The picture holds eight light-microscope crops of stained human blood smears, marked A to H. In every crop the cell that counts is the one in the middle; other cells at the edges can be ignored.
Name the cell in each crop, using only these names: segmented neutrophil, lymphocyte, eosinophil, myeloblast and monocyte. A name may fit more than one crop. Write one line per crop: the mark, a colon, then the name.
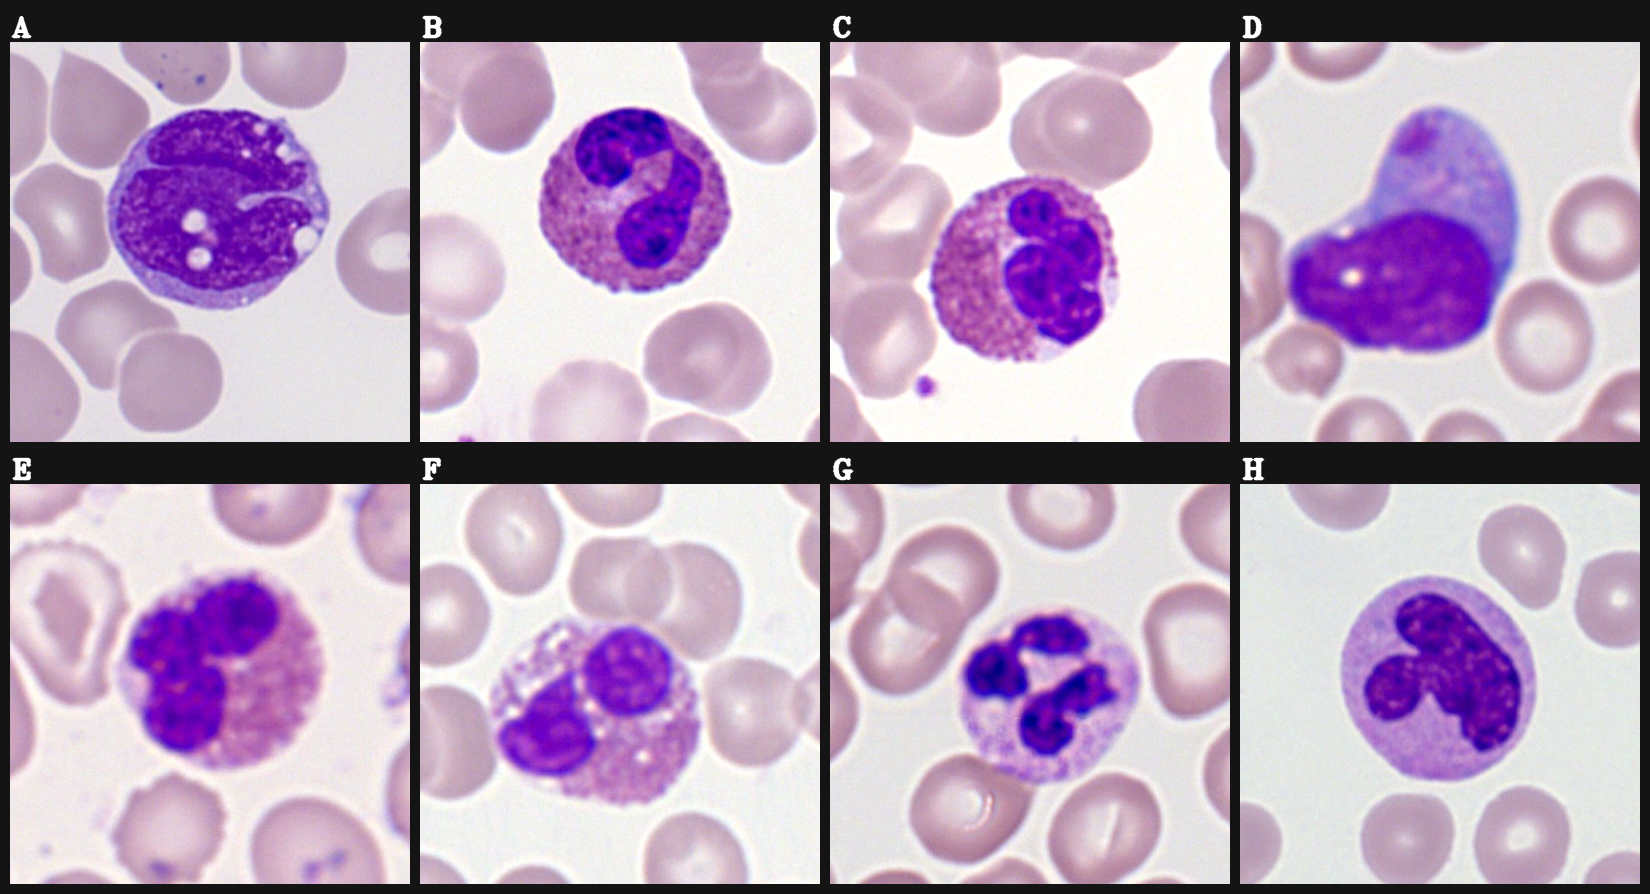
A: monocyte
B: eosinophil
C: eosinophil
D: monocyte
E: eosinophil
F: eosinophil
G: segmented neutrophil
H: monocyte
